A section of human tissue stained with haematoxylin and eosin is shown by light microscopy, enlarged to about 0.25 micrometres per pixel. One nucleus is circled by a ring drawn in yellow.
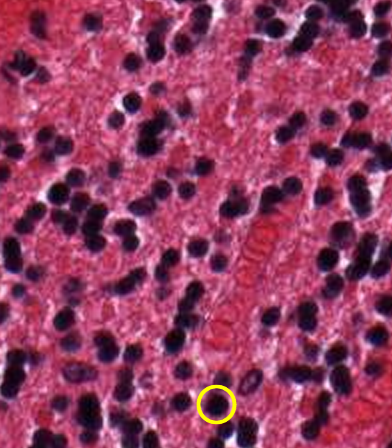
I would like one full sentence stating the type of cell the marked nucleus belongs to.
The cell that the marked nucleus belongs to is a cerebellar granule cell.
